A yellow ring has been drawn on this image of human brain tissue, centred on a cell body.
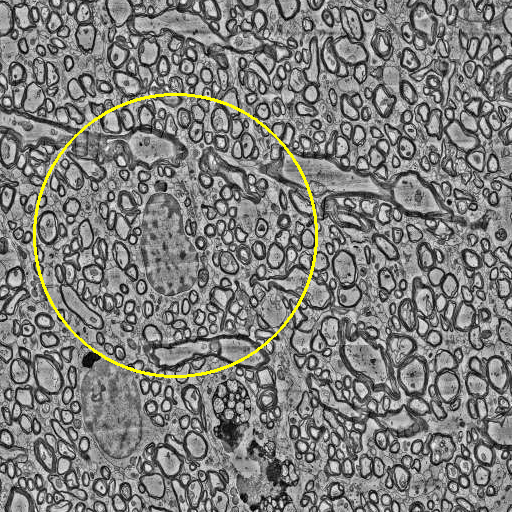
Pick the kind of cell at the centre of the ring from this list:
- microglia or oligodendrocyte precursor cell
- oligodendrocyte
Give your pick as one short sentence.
The centre of the ring holds a microglial cell or oligodendrocyte precursor cell.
